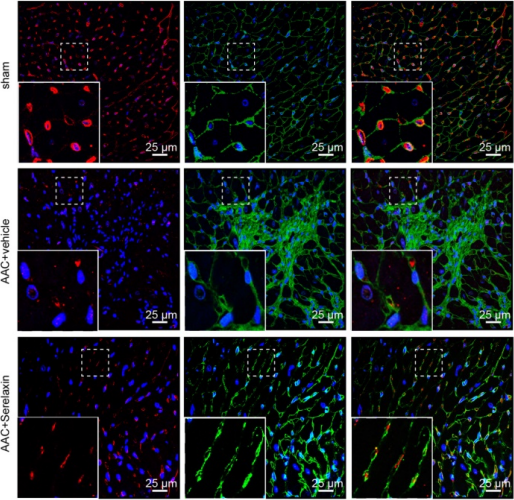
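These are sections of heart muscle with small red-outlined capillary profiles lying between the blue nuclei of the tissue. In the middle row the green staining forms dense, sheet-like interconnected masses that fill the spaces between cells, while in the top row it is only a fine mesh outlining cells and in the bottom row it is patchier and more elongated. Red capillary profiles look fewer in the middle row than in the top row.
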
